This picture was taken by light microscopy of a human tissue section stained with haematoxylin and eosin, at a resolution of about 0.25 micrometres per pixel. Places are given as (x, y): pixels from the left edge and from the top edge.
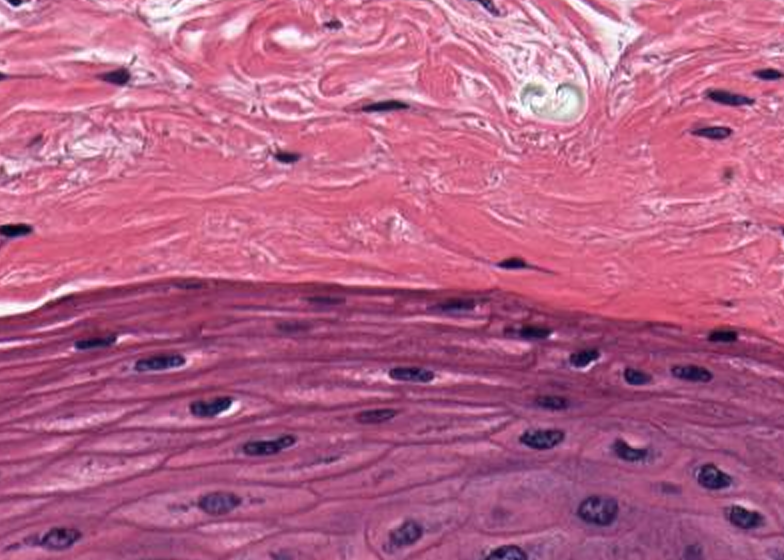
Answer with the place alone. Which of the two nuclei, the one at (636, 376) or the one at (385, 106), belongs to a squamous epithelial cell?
(636, 376)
